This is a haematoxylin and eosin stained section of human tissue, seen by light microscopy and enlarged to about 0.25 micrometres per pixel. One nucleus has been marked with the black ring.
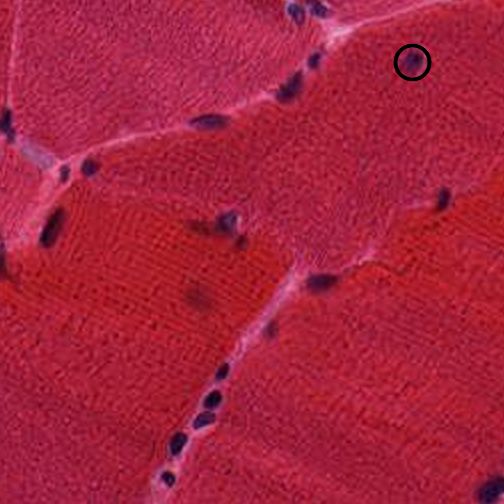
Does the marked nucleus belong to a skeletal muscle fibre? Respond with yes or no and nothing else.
yes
